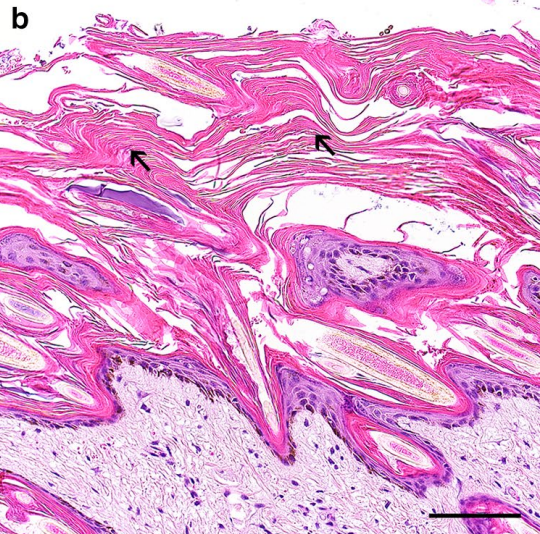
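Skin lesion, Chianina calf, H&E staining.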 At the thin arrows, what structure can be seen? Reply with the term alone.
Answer: orthokeratotic, lamellar keratin scales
